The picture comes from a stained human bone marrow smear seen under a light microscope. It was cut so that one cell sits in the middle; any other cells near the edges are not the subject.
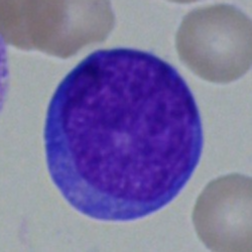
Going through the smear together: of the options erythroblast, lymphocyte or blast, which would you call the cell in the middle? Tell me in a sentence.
In this crop, the cell at the very middle is a blast.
